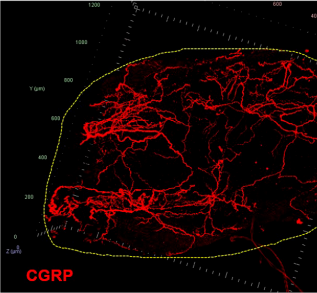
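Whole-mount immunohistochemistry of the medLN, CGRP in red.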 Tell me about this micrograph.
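The fibers are thin, long threads that run over hundreds of micrometres through the node. They branch repeatedly and often run in parallel bundles. Several thicker trunks lie near the lower and left parts of the outline, from which finer branches spread into the interior. Parts of the node contain few fibers, so the network is unevenly distributed.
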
